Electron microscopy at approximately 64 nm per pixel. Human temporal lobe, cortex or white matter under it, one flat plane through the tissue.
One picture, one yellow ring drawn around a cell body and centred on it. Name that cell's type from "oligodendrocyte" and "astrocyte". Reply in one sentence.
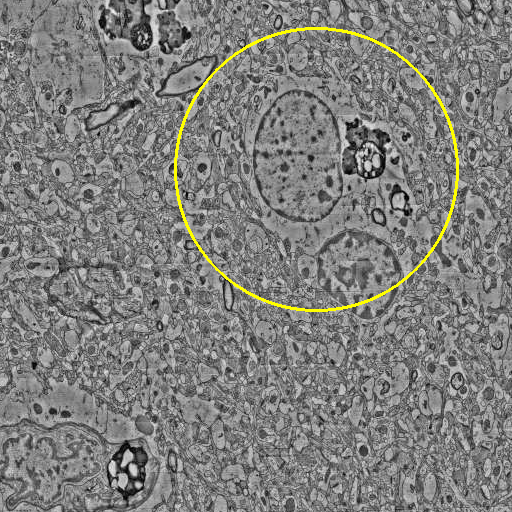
Centred in the ring is an astrocyte.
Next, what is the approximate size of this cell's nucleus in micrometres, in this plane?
The nucleus works out at approximately 8 by 6 micrometres in this plane.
